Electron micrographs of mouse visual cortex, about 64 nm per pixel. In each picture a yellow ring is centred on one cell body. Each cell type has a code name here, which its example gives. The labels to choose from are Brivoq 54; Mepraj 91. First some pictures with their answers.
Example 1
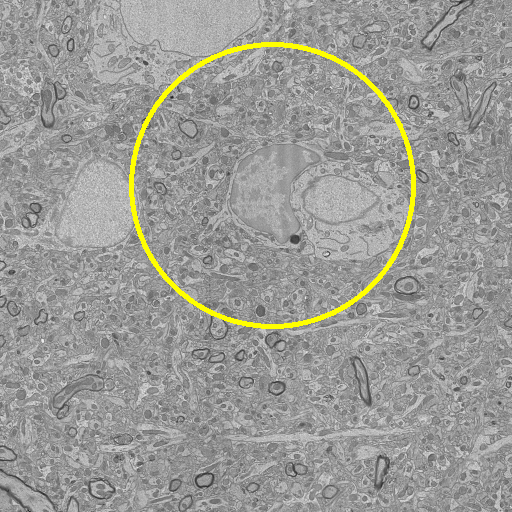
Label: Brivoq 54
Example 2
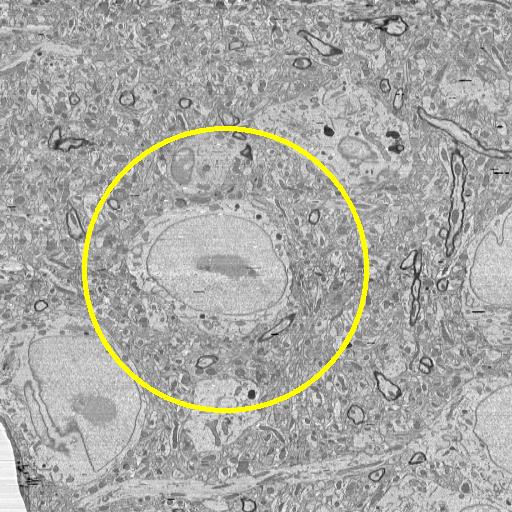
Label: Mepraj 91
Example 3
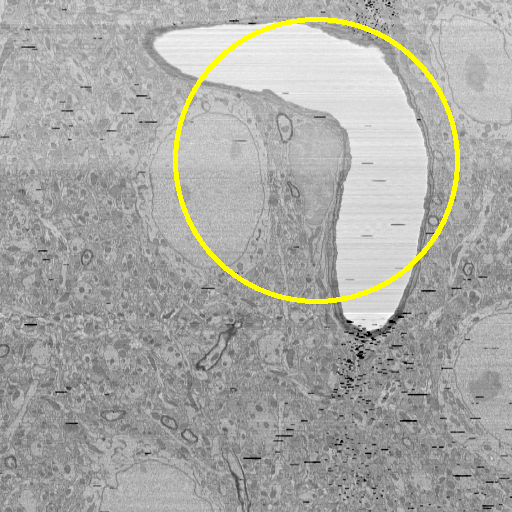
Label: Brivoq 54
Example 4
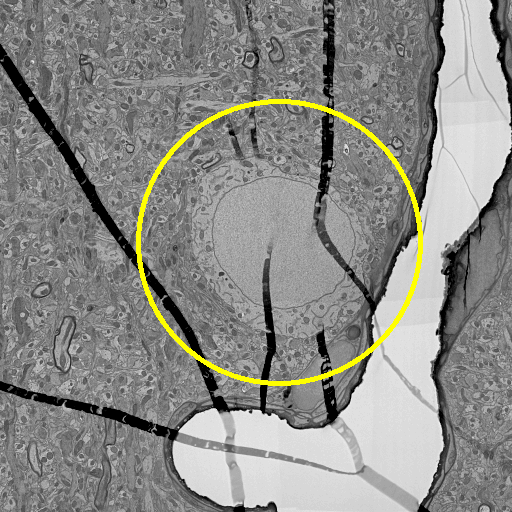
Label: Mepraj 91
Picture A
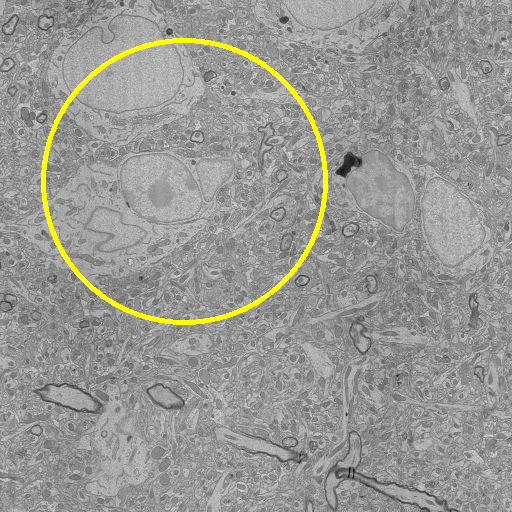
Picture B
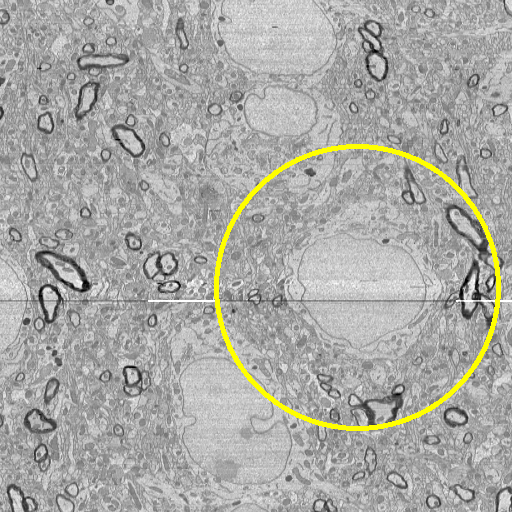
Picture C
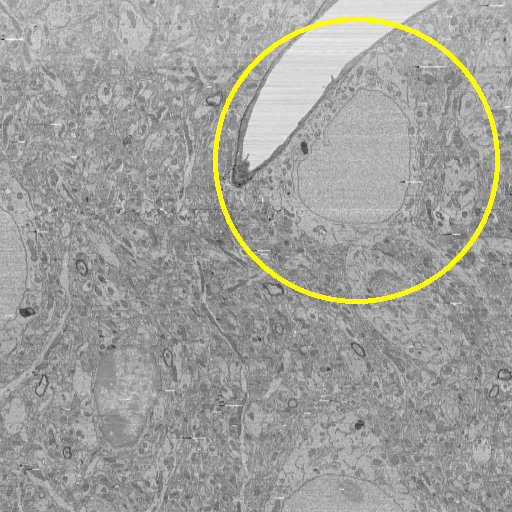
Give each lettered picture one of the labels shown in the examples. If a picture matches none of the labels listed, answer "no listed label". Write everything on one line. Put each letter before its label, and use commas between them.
A no listed label, B Mepraj 91, C Mepraj 91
